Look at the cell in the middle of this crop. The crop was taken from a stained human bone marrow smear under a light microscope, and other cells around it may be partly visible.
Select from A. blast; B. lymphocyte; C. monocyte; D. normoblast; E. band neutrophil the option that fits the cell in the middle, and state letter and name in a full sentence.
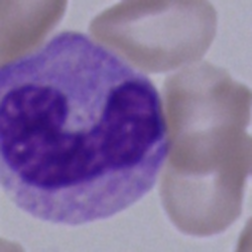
Identified correctly by option E, the cell in the middle is a band neutrophil.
